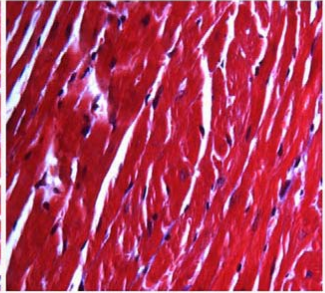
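This is heart muscle in which long cardiac muscle fibres stain bright red and run in parallel from lower left to upper right. Dark, elongated nuclei lie along the fibres, oriented with their long axes parallel to them. Narrow white clefts separate some fibres, but the fibres remain closely aligned. No blue-stained fibrous material is seen between the fibres.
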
